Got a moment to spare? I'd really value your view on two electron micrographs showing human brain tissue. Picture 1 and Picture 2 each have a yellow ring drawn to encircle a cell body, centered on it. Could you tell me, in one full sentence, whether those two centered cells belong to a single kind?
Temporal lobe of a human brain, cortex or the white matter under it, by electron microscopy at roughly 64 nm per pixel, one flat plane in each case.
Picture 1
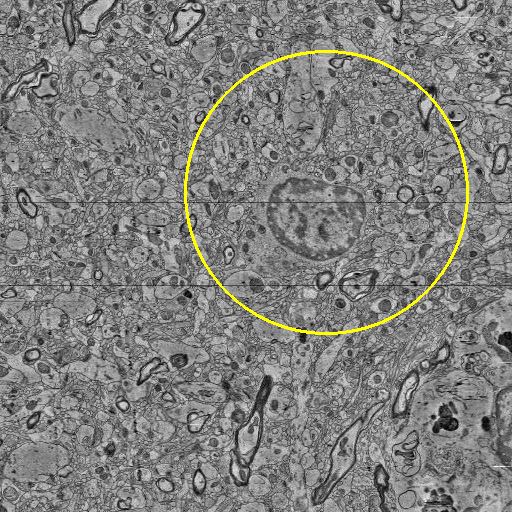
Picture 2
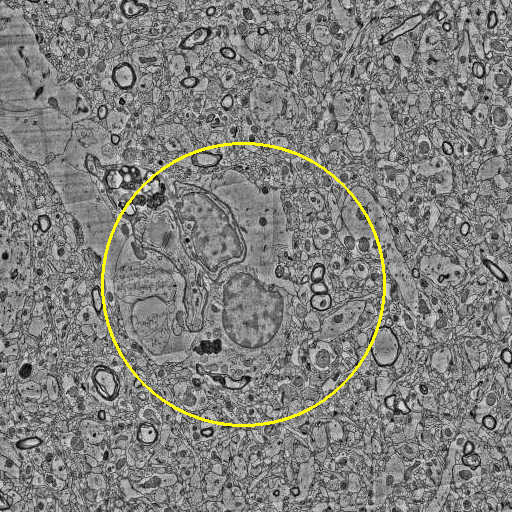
Yes, the two centered cells in Picture 1 and Picture 2 are of a single kind.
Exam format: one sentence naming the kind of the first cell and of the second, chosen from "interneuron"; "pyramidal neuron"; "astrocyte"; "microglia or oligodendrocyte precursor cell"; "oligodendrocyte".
The first and the second cell are each an oligodendrocyte.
